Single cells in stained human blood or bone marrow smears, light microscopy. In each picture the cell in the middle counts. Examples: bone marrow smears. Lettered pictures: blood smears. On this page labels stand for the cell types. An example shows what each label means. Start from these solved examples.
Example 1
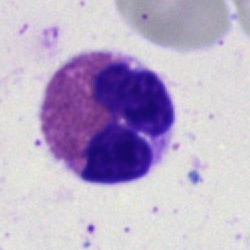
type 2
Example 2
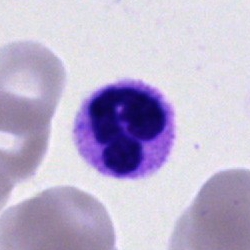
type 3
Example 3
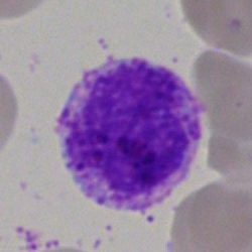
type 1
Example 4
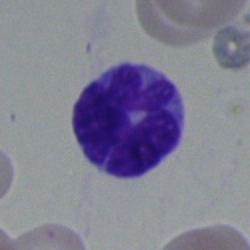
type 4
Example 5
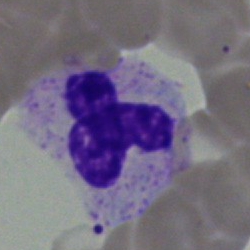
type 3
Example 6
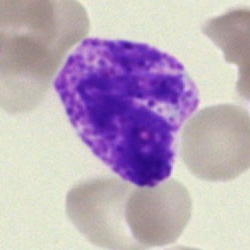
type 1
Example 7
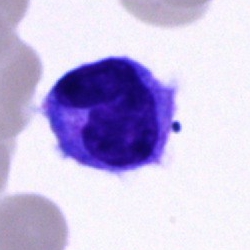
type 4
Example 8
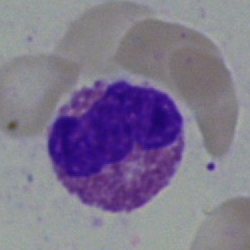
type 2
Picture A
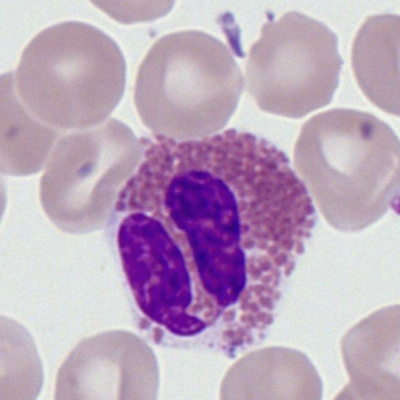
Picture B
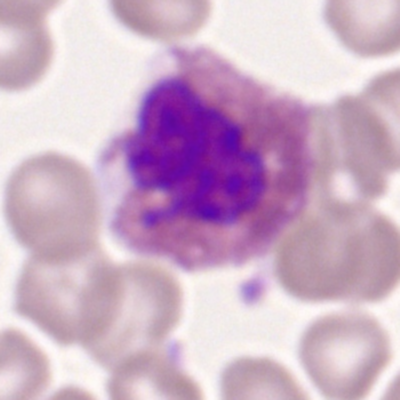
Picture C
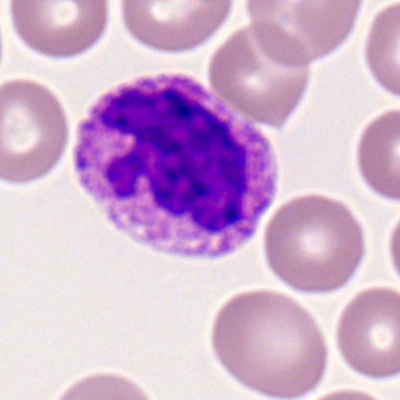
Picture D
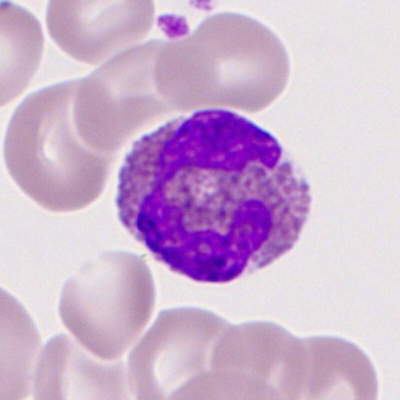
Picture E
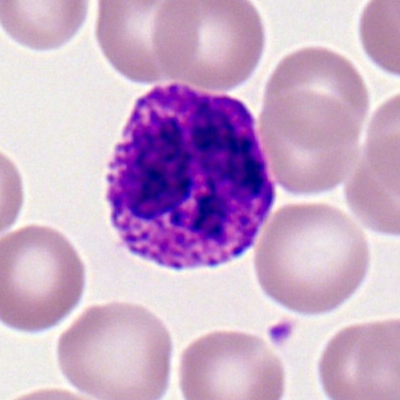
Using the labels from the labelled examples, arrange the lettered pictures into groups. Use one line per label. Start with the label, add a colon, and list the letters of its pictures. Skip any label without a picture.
type 2: A, B, D
type 1: C, E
